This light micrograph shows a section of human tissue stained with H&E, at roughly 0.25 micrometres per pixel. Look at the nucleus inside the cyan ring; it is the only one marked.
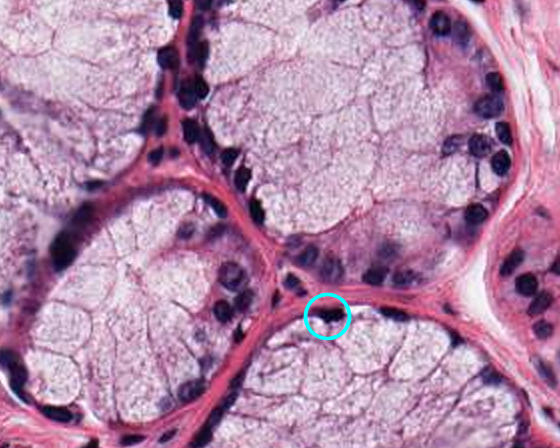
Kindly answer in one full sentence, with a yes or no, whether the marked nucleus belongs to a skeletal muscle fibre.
No, the marked nucleus belongs not to a skeletal muscle fibre but to a mucous gland cell.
